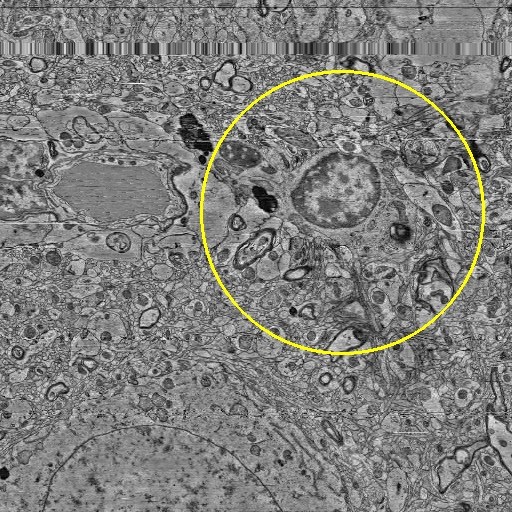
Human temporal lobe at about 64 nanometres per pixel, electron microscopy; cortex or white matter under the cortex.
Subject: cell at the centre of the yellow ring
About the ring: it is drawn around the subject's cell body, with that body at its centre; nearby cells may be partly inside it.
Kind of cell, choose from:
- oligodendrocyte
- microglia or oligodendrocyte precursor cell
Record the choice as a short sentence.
The subject cell is an oligodendrocyte.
